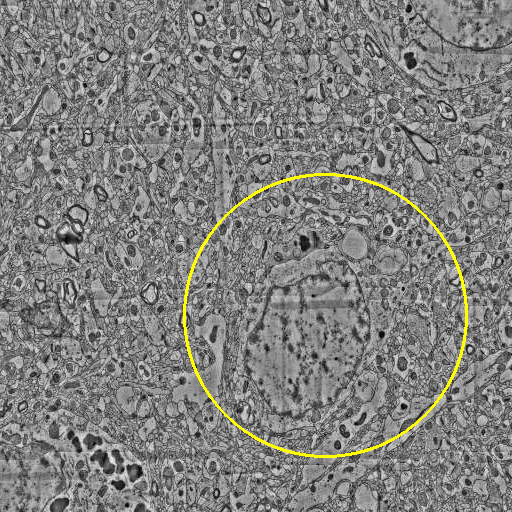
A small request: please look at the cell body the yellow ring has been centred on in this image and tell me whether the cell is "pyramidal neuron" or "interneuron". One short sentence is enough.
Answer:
The cell marked by the ring is an interneuron.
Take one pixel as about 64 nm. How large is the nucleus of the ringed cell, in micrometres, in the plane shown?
The nucleus has a long axis of about 10 micrometres and a short axis of about 8 micrometres in this plane.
